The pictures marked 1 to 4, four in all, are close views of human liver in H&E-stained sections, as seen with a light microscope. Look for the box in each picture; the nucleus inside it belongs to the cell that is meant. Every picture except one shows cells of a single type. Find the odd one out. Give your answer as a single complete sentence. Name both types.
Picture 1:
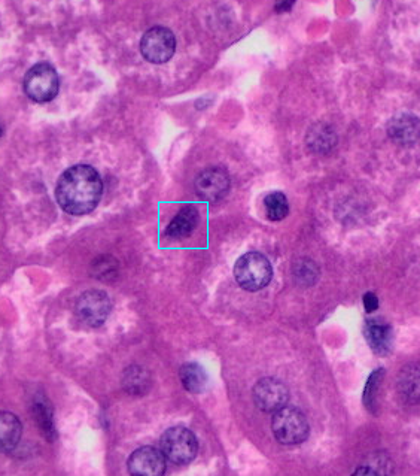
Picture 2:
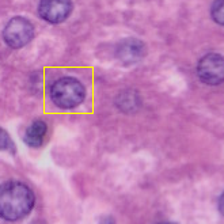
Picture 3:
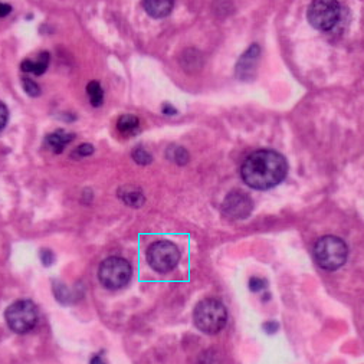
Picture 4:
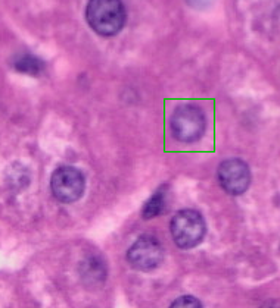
Unlike the rest, which show hepatocytes, picture 1 shows a “fibroblast or stellate cell”.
